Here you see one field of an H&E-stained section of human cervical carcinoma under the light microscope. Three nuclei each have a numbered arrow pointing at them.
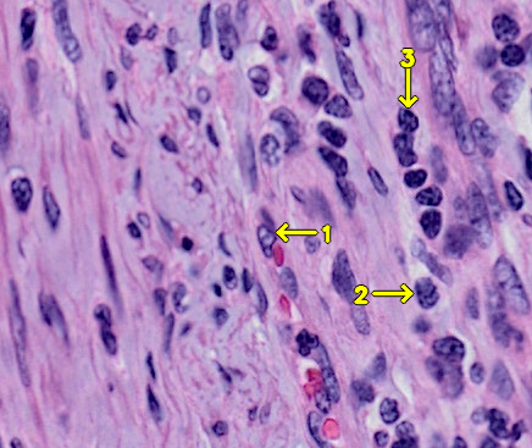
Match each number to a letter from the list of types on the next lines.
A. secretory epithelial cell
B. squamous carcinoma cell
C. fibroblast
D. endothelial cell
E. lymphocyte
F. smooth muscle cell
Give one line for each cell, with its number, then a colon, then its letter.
1: D
2: E
3: E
